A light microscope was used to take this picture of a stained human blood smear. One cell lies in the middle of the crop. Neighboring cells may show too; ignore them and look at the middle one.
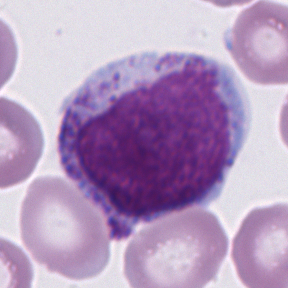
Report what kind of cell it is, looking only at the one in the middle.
promyelocyte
